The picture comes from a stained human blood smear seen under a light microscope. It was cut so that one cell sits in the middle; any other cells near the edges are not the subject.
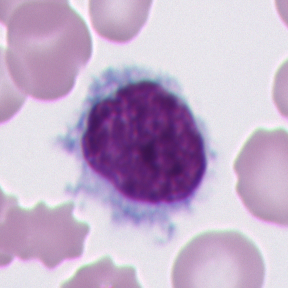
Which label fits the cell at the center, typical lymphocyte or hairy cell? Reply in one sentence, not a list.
The cell shown in the center of this light-microscope crop is a hairy cell.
